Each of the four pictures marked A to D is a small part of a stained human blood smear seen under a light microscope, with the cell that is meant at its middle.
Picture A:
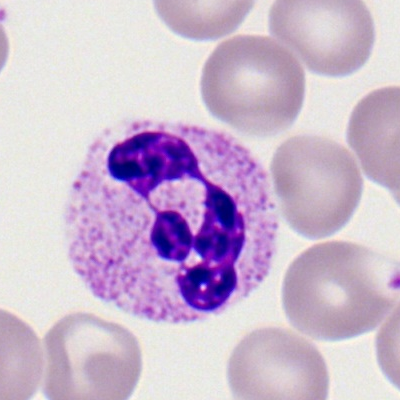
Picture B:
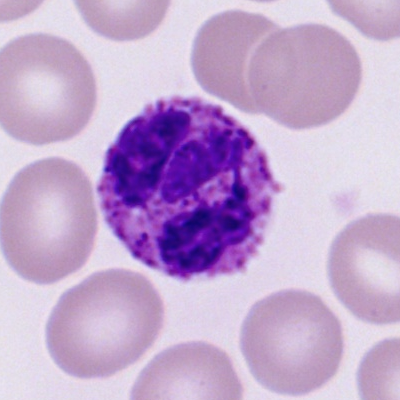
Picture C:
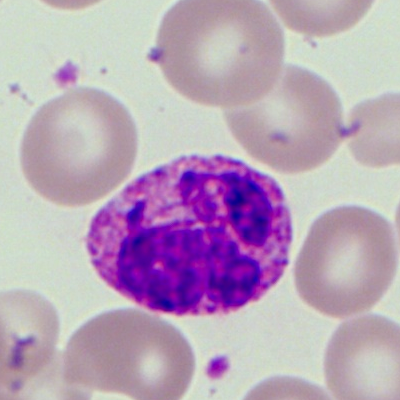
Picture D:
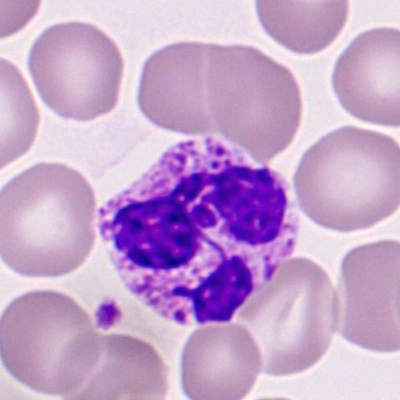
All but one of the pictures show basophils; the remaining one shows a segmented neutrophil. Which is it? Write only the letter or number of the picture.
A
